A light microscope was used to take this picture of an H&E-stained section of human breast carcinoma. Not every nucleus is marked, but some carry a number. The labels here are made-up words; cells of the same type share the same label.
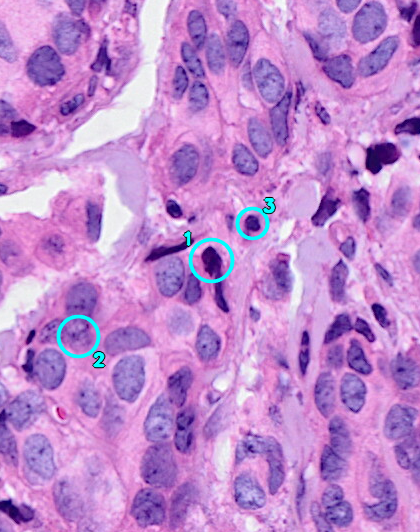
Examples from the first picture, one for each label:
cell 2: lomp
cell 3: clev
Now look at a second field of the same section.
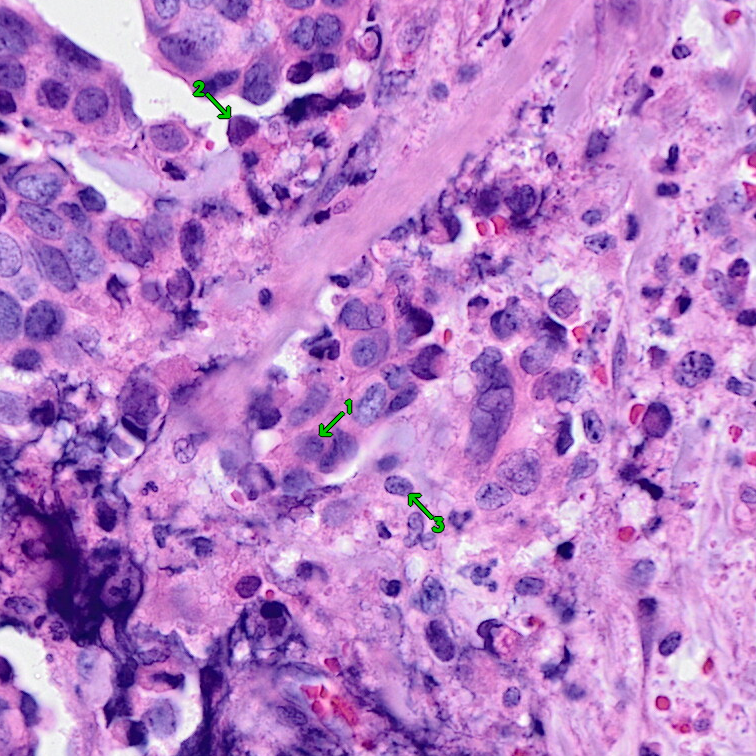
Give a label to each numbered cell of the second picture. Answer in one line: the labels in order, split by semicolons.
lomp; lomp; clev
